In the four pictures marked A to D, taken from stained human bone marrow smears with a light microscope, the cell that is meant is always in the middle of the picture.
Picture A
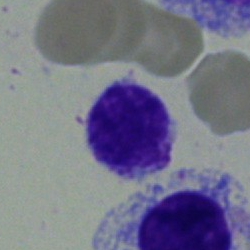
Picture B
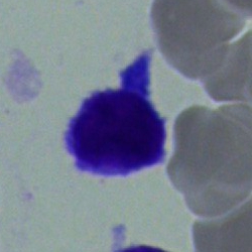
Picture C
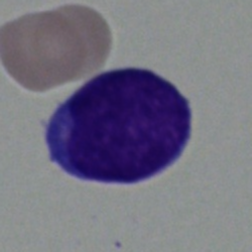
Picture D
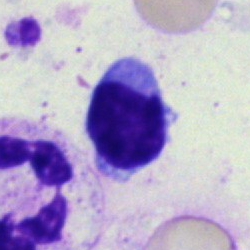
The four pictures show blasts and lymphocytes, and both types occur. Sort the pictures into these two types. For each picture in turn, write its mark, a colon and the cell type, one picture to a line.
A: lymphocyte
B: lymphocyte
C: blast
D: lymphocyte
